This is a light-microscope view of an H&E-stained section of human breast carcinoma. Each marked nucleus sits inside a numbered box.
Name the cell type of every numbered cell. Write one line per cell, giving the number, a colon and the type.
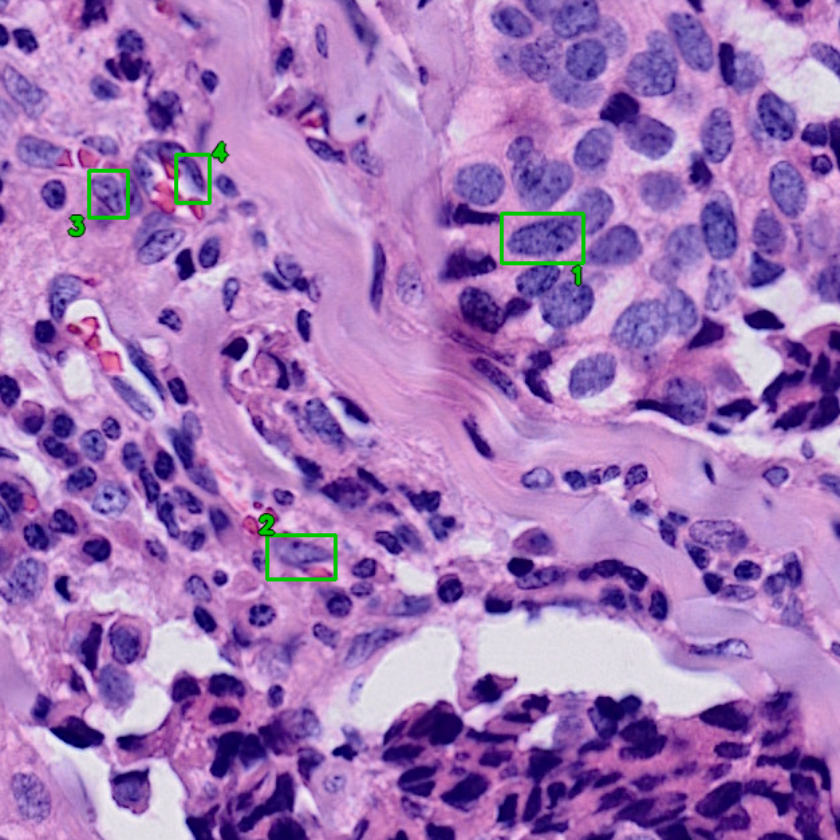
1: carcinoma cell
2: endothelial cell
3: endothelial cell
4: endothelial cell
